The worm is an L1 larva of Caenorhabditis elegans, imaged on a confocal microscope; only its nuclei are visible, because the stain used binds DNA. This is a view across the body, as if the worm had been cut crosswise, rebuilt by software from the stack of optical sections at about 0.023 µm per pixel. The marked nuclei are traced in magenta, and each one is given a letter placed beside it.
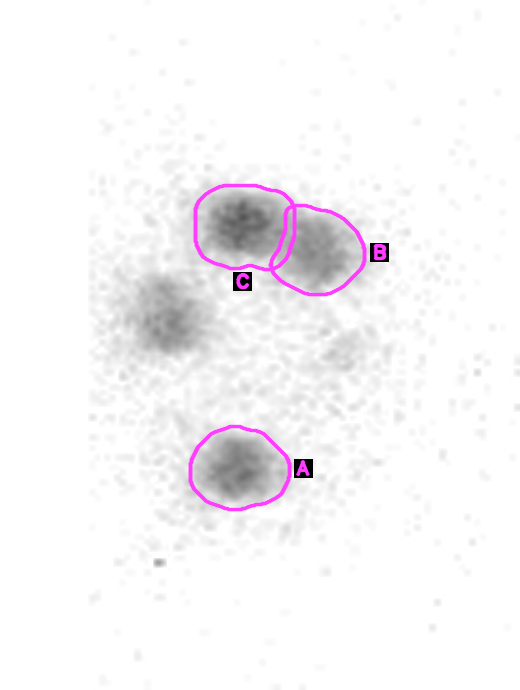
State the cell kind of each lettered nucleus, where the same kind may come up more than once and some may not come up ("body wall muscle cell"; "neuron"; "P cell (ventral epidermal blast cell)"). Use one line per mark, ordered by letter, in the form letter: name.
A: body wall muscle cell
B: P cell (ventral epidermal blast cell)
C: neuron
